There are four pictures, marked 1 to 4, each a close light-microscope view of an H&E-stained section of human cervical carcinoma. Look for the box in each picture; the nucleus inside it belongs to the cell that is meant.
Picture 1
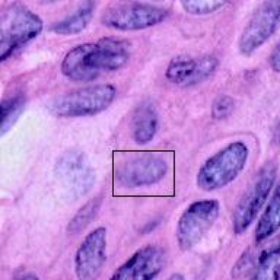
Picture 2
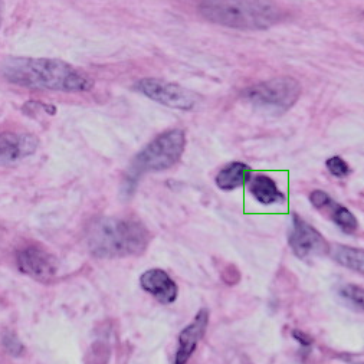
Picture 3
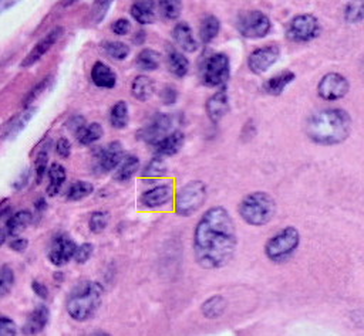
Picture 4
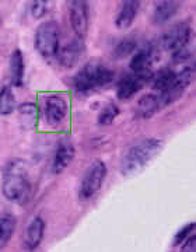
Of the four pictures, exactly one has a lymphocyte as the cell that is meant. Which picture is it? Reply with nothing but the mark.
2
